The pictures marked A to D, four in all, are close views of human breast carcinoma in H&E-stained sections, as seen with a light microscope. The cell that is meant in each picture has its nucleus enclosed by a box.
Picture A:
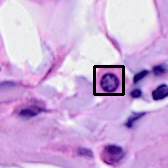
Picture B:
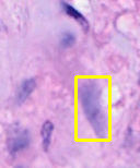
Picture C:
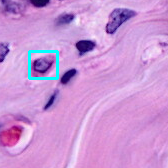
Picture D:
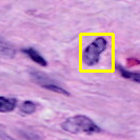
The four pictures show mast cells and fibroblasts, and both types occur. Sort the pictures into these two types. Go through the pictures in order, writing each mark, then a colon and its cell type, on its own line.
A: mast cell
B: fibroblast
C: mast cell
D: mast cell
